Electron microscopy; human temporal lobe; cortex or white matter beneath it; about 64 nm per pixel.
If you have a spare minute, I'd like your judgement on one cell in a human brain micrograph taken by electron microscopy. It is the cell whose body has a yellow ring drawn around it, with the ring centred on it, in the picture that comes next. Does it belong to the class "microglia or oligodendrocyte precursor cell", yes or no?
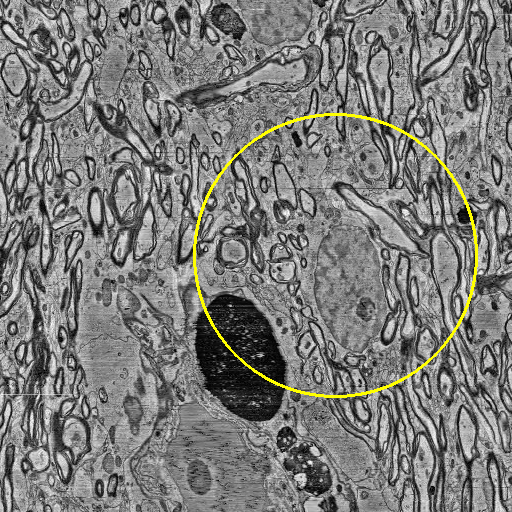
No, it belongs to another class.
